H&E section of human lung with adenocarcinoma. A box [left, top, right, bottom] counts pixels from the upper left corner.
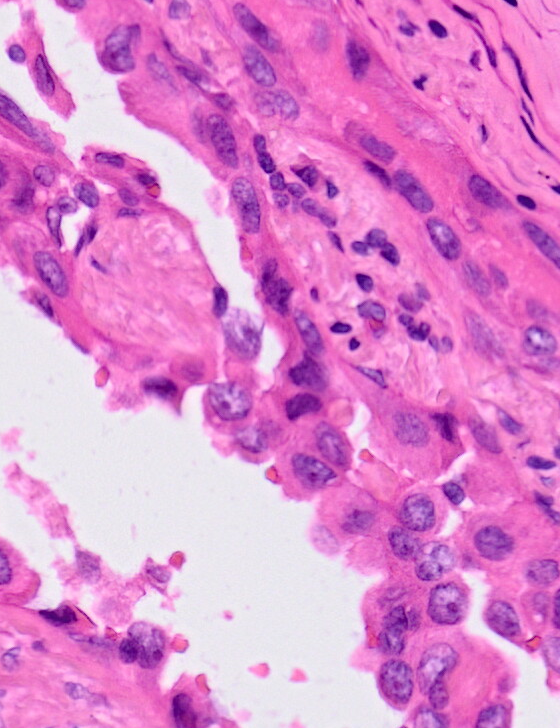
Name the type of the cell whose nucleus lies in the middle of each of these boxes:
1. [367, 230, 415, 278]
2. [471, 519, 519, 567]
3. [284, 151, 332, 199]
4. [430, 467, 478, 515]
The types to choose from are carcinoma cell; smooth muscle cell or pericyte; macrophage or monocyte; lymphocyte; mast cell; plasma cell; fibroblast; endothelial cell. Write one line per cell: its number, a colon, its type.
1: lymphocyte
2: carcinoma cell
3: plasma cell
4: lymphocyte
